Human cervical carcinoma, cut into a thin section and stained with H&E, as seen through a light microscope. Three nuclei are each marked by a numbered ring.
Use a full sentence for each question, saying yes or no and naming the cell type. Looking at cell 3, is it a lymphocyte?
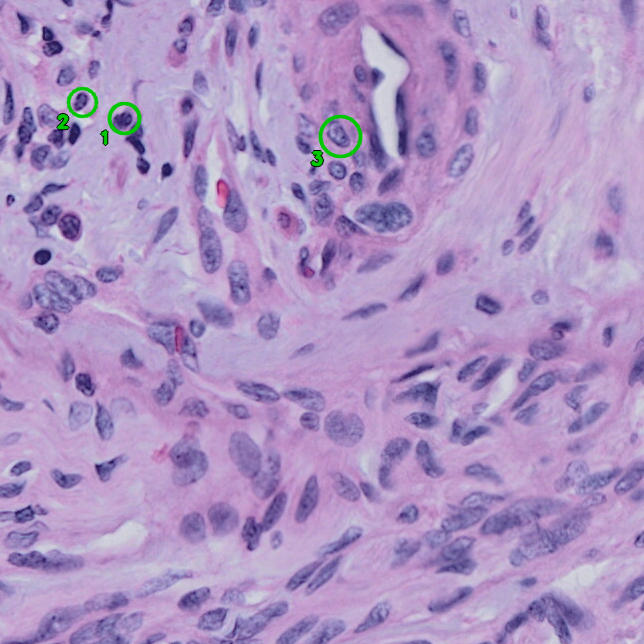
No, cell 3 is a smooth muscle cell; it is not a lymphocyte.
